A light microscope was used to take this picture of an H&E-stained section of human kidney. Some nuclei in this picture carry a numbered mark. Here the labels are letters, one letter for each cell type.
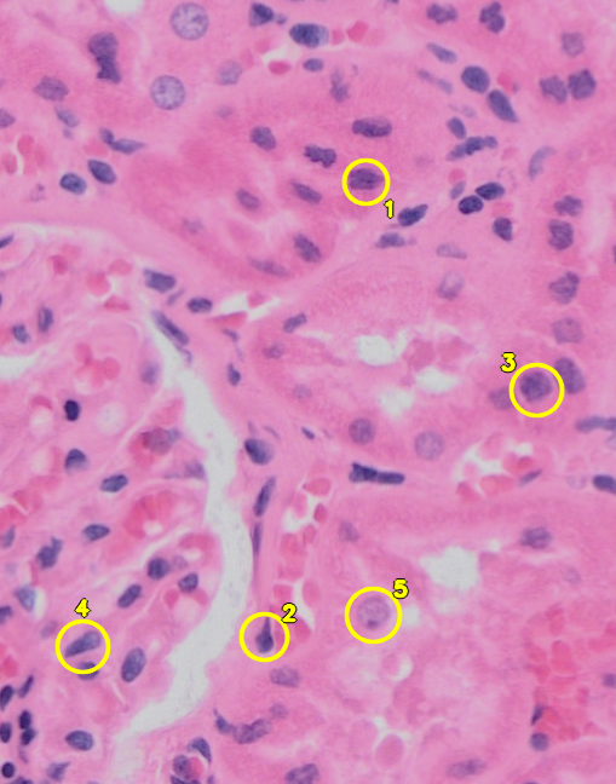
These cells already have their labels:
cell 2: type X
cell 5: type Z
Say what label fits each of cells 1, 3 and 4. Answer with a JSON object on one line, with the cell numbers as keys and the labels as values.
{"1": "type Z", "3": "type Z", "4": "type X"}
